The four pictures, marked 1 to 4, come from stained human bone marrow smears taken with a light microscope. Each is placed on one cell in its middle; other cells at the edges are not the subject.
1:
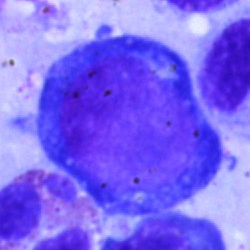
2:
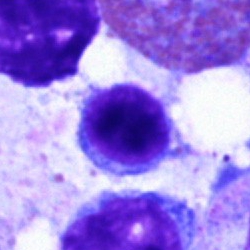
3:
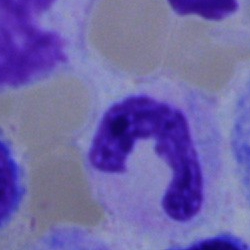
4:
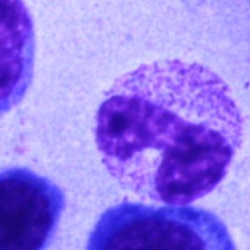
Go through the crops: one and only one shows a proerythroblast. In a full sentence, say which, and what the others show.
Regarding crop 1, it shows a proerythroblast, while crop 2 is a lymphocyte, crop 3 is a segmented neutrophil and crop 4 is a band neutrophil.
